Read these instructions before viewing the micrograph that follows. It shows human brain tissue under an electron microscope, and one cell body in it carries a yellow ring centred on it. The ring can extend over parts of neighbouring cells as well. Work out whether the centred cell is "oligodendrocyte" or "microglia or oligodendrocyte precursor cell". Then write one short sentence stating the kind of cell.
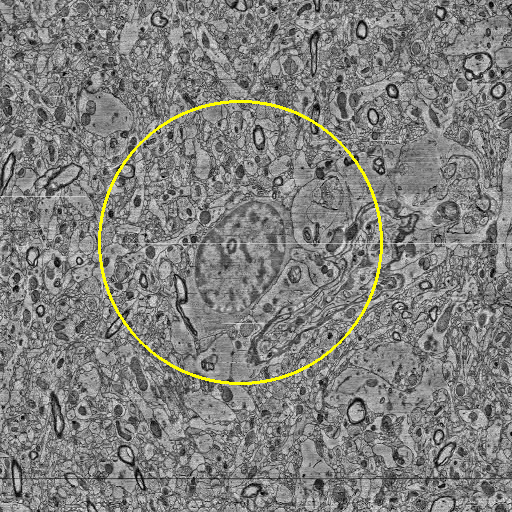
The ringed cell is an oligodendrocyte.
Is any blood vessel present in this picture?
Yes.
